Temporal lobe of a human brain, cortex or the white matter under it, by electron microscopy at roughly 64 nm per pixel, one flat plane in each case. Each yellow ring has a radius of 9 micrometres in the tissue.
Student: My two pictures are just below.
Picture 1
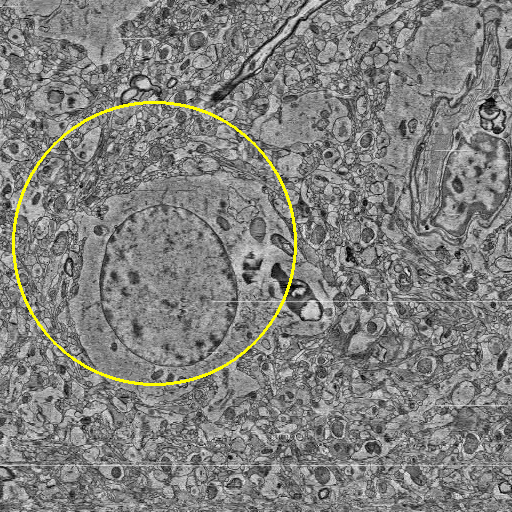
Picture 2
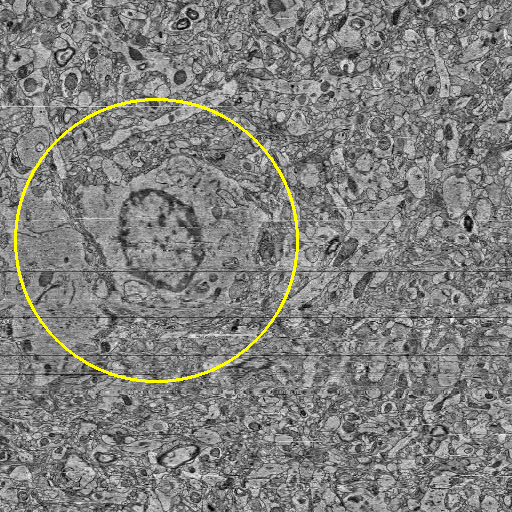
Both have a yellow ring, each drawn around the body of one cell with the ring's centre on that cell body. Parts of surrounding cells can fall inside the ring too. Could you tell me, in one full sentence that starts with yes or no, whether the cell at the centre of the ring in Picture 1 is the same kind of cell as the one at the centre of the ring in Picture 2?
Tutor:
Yes, the two cells are of the same kind.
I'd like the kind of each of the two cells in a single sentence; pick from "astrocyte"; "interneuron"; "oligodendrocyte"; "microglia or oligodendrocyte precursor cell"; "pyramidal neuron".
The cell at the ring centre is an astrocyte in both pictures.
